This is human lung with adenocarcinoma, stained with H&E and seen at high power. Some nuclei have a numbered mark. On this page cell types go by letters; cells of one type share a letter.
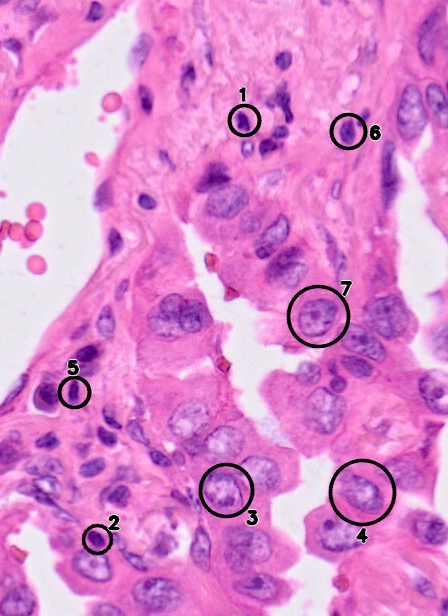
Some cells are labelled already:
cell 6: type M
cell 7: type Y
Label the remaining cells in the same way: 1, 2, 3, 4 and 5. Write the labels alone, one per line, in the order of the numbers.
type M
type M
type Y
type Y
type M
